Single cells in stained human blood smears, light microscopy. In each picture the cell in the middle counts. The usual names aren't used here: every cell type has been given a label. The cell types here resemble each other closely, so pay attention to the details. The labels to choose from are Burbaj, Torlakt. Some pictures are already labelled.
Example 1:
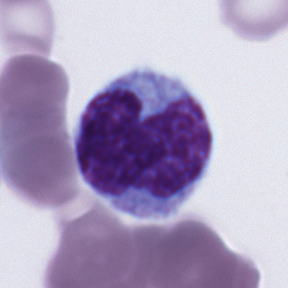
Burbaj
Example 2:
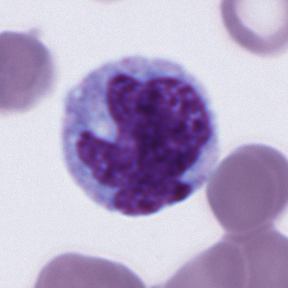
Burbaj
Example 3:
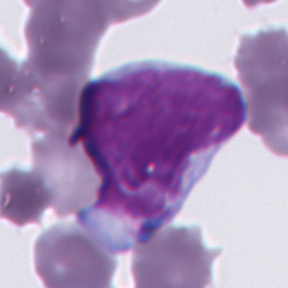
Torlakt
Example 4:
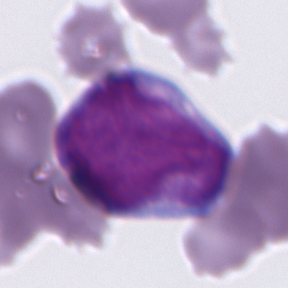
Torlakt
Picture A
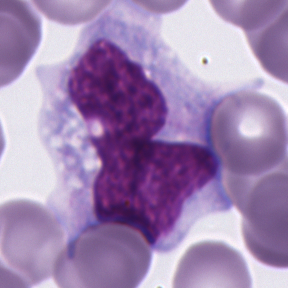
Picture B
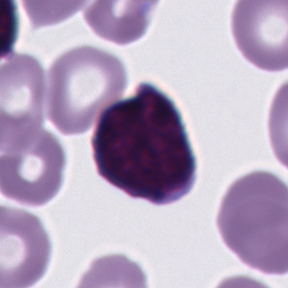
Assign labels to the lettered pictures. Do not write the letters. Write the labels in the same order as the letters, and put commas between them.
Burbaj, Torlakt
